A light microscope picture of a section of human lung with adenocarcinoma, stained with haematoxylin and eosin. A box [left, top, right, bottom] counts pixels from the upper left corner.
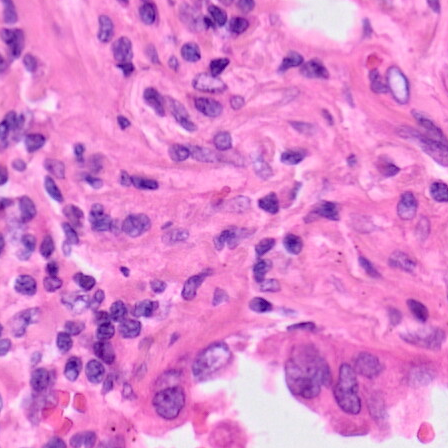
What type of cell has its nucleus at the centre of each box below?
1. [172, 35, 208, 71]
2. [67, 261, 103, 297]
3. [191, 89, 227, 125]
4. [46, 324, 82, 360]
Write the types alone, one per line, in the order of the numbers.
lymphocyte
lymphocyte
plasma cell
lymphocyte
